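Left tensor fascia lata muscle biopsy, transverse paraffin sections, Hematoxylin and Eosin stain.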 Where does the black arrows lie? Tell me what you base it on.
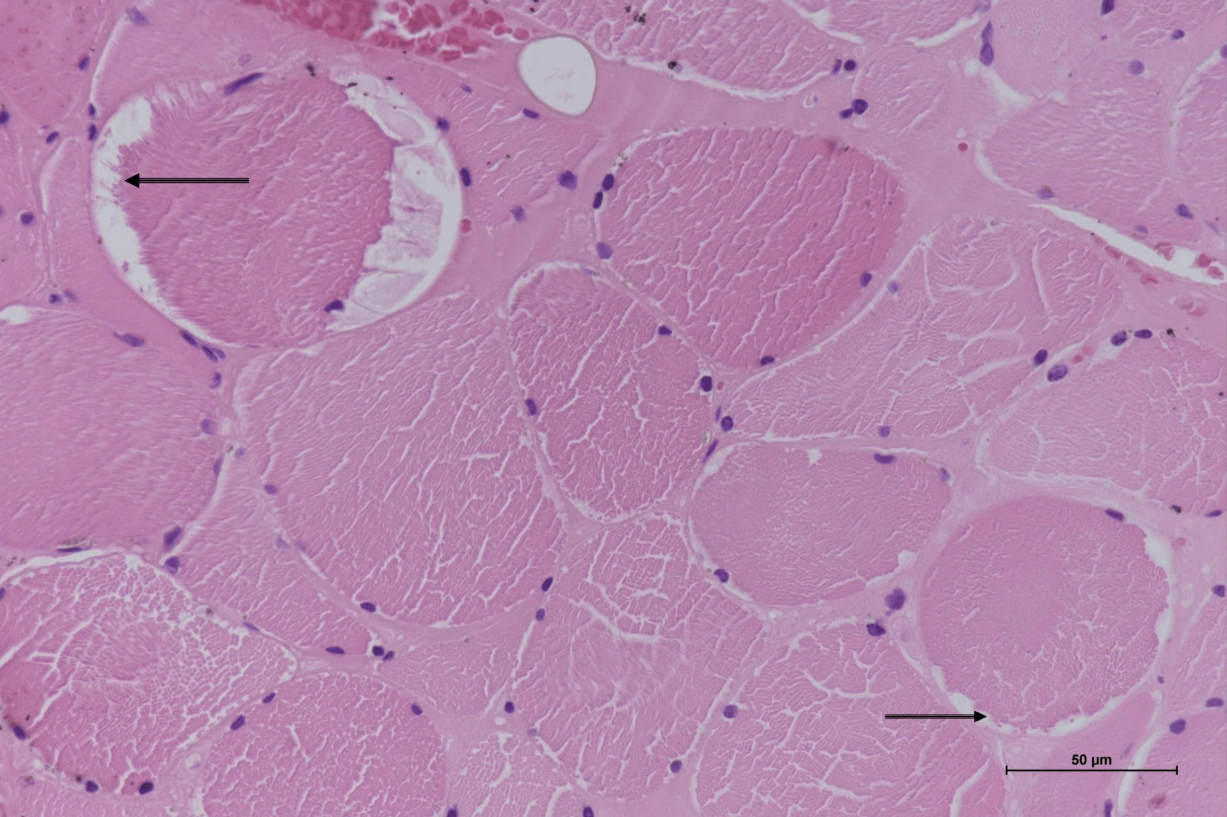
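Subsarcolemmal. The clear spaces the arrows mark sit at the rim of the fibres rather than in their centres. They follow the curve of the fibre border in a crescent.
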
